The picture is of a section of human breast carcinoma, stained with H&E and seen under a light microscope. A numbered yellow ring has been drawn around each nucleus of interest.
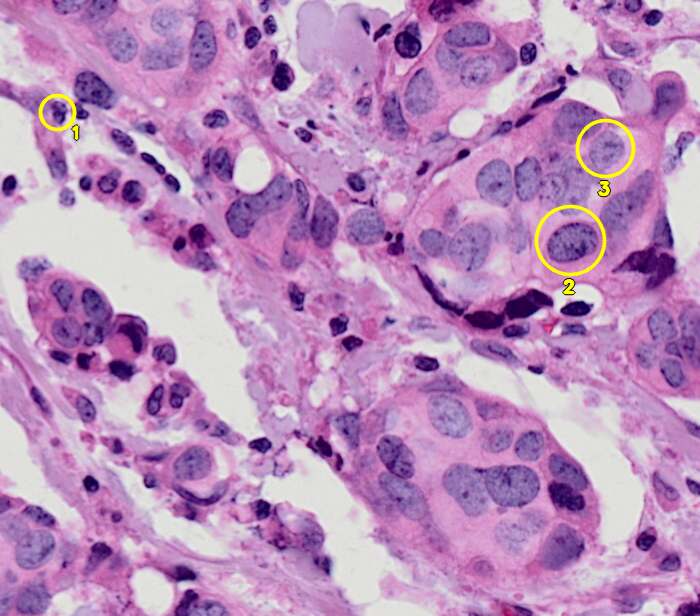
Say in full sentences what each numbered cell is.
Cell 1 is a lymphocyte. Cells 2 and 3 are carcinoma cells.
